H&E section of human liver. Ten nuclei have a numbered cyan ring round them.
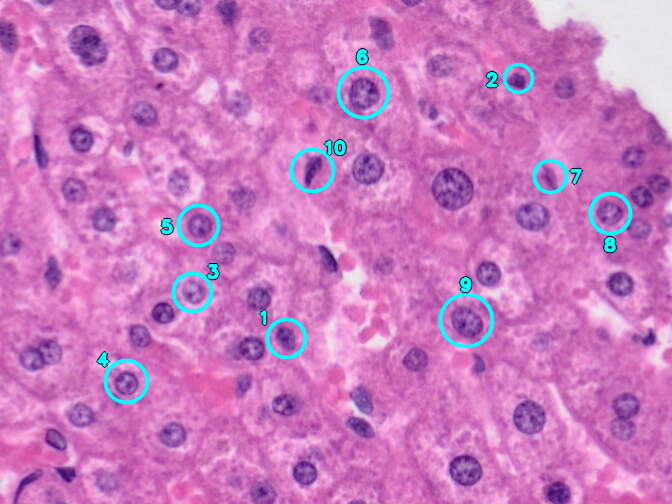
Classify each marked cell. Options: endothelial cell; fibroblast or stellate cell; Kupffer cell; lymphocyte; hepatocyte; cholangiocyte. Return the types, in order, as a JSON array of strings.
["fibroblast or stellate cell", "fibroblast or stellate cell", "hepatocyte", "hepatocyte", "hepatocyte", "hepatocyte", "endothelial cell", "hepatocyte", "hepatocyte", "fibroblast or stellate cell"]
